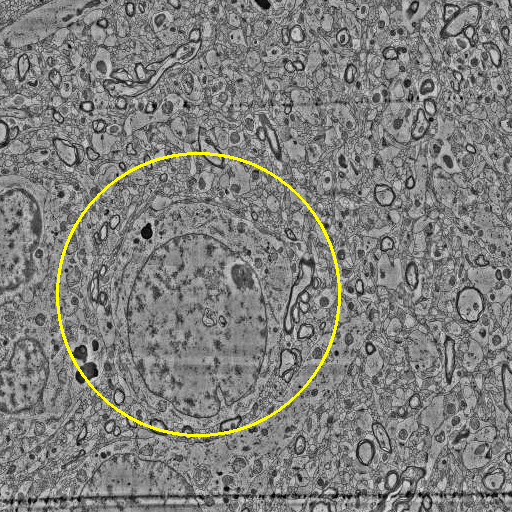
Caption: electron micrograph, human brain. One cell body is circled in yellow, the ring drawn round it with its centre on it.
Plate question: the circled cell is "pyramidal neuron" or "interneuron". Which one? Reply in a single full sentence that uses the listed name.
The yellow ring on the plate is centred on a pyramidal neuron, going by the listed names.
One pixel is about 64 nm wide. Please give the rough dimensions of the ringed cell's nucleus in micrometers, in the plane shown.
Roughly 12 micrometres by 10 micrometres, in this plane.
